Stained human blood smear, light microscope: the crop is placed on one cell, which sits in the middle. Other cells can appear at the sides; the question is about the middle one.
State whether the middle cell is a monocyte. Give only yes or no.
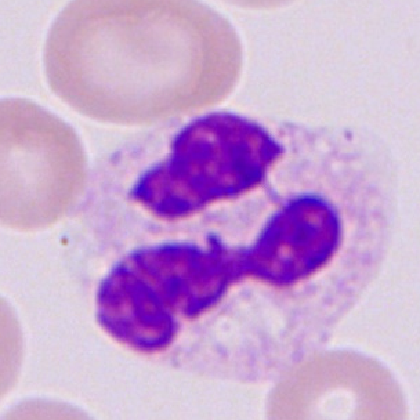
no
